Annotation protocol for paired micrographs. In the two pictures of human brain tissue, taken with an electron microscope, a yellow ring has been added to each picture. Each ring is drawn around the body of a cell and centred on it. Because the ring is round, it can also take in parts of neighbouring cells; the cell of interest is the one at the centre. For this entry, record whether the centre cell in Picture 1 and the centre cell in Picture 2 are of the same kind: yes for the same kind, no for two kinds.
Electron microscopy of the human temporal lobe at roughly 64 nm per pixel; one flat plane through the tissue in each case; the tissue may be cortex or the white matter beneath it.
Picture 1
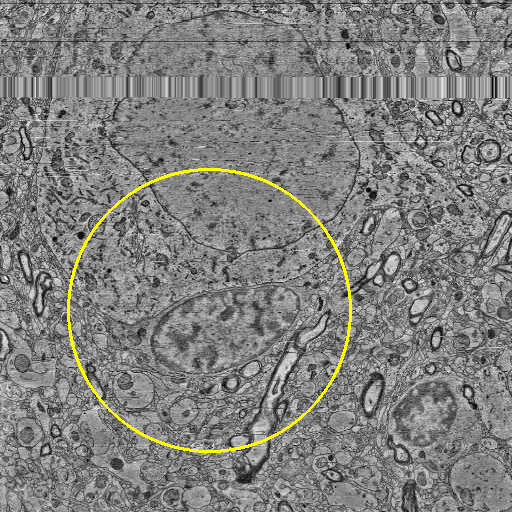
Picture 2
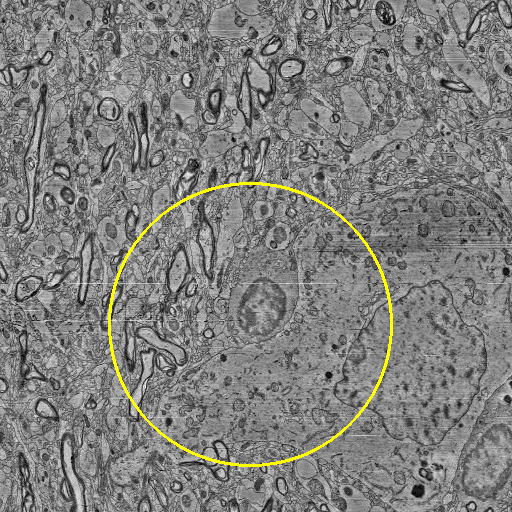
yes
